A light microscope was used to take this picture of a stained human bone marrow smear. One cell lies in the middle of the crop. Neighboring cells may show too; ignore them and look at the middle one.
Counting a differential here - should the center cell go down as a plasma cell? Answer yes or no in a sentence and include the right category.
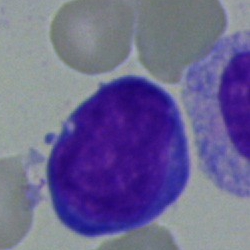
No, the centre of the crop is taken up by a proerythroblast, not a plasma cell.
